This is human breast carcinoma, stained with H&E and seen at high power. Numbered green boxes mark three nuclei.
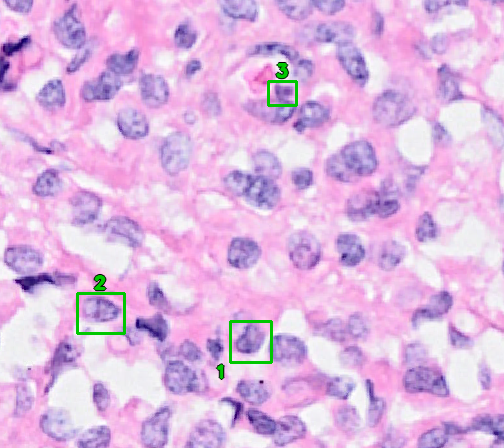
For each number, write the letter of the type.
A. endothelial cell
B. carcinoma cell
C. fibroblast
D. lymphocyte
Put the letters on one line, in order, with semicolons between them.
B; B; A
